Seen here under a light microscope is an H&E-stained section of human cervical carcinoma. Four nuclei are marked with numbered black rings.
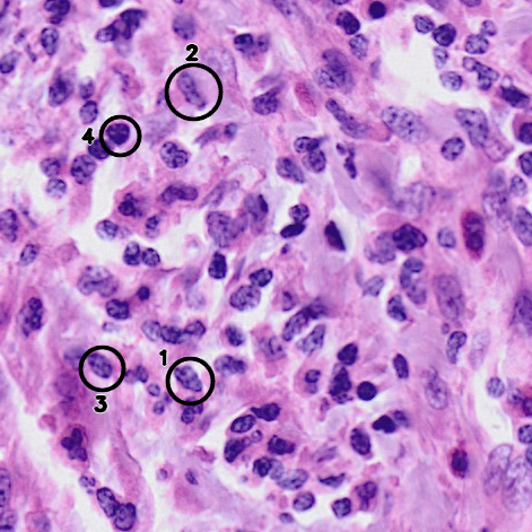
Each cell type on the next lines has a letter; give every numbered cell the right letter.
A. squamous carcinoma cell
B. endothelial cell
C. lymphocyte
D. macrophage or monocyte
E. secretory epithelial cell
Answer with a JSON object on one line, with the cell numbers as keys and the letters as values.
{"1": "C", "2": "D", "3": "C", "4": "C"}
